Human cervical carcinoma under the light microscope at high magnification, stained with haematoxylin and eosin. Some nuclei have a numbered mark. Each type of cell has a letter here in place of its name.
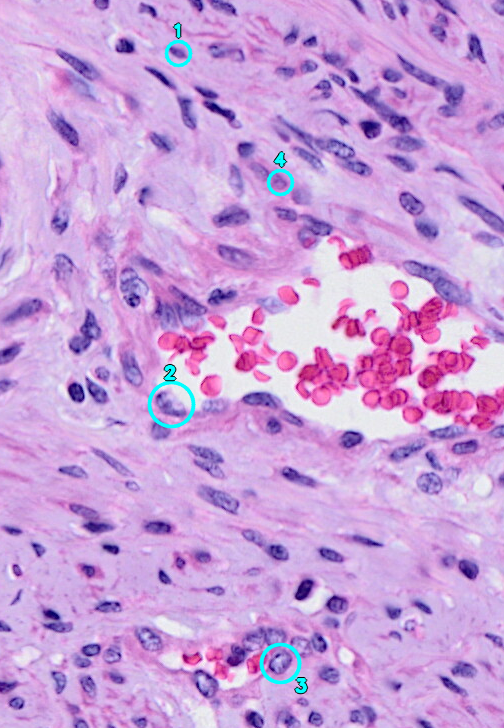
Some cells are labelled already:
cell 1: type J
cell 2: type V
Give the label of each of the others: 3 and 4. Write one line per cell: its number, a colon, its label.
3: type V
4: type V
